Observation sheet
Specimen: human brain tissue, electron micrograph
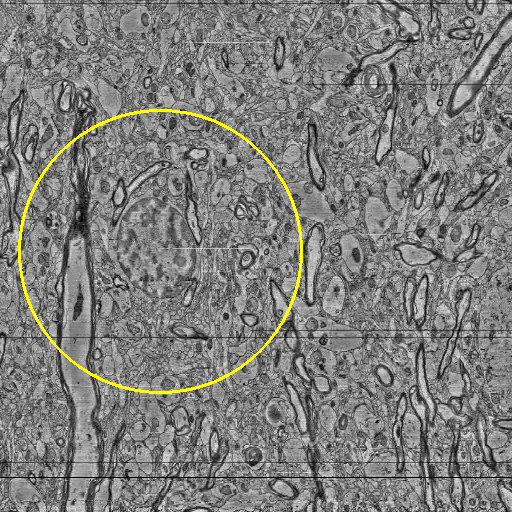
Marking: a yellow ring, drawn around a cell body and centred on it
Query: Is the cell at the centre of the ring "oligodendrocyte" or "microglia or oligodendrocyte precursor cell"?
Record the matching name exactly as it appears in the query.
oligodendrocyte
